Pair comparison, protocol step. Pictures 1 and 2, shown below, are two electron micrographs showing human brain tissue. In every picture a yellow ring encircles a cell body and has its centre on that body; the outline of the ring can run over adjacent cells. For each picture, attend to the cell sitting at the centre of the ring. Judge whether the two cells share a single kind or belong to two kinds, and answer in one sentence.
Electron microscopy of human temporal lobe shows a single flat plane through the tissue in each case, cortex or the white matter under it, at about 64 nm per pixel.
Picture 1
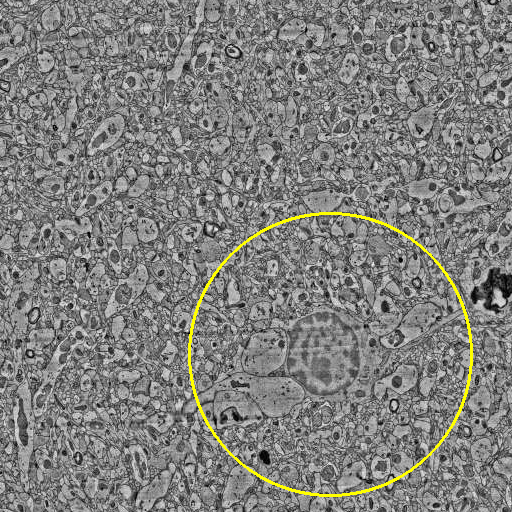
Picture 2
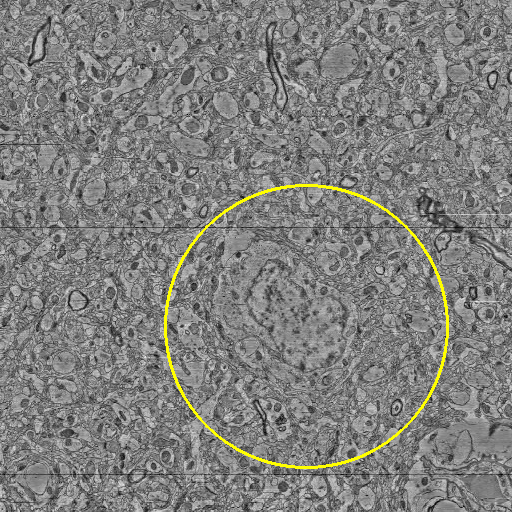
The two cells at the ring centres in Picture 1 and Picture 2 belong to two kinds.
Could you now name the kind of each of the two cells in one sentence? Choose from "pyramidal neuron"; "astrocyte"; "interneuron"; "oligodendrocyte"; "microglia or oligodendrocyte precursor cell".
The first ring encloses an oligodendrocyte; the second ring encloses an interneuron.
